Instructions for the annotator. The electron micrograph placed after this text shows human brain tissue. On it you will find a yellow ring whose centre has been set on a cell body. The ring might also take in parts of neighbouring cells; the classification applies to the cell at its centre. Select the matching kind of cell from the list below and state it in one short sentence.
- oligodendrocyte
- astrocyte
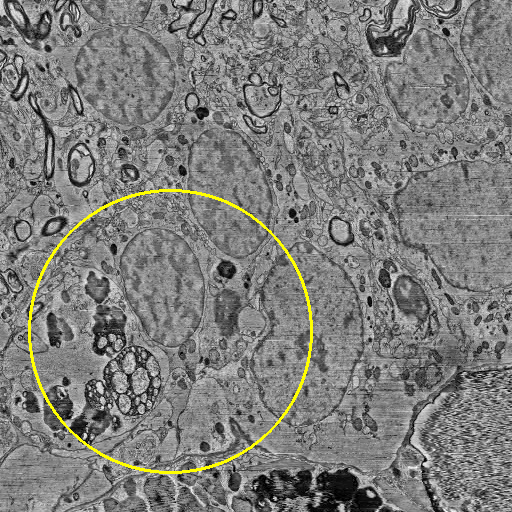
The ring is drawn on the cell body of an oligodendrocyte.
